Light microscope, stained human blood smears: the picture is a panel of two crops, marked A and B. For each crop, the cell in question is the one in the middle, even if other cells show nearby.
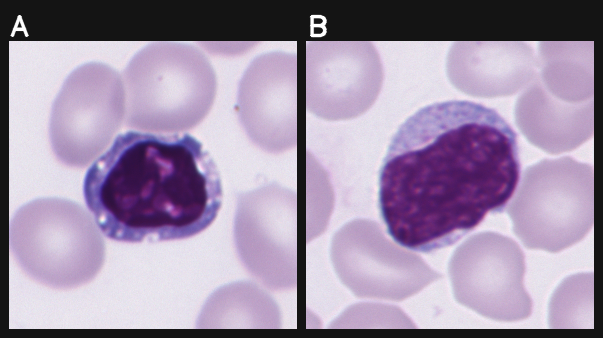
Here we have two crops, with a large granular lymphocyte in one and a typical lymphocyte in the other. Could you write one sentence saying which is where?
What is seen in crop A is a large granular lymphocyte; what is seen in crop B is a typical lymphocyte.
